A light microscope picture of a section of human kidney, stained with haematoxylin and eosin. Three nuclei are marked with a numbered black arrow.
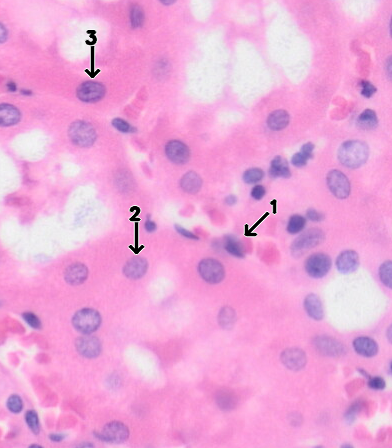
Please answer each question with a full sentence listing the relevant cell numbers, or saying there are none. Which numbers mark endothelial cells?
Cell 1 is an endothelial cell, whereas each of the other numbered cells is not.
